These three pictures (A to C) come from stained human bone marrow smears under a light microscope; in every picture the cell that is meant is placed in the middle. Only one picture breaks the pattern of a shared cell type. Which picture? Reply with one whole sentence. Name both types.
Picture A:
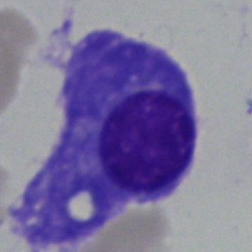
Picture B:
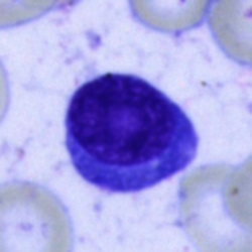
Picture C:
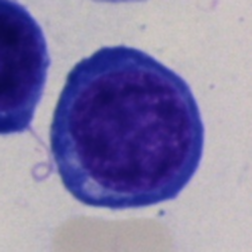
Unlike the rest, which show plasma cells, picture C shows a proerythroblast.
